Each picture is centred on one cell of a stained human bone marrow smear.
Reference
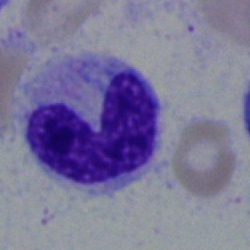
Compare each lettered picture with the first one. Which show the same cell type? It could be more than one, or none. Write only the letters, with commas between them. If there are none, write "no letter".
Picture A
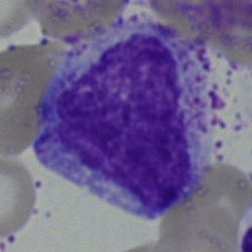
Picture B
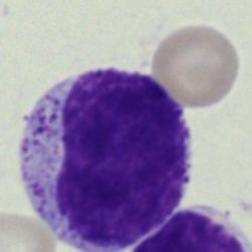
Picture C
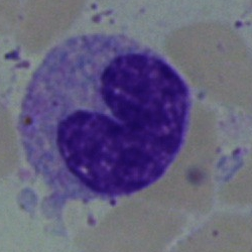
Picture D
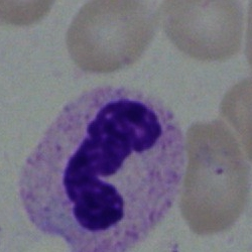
C, D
